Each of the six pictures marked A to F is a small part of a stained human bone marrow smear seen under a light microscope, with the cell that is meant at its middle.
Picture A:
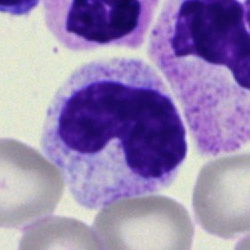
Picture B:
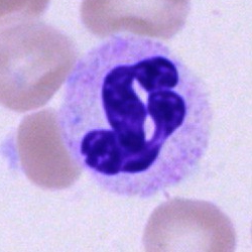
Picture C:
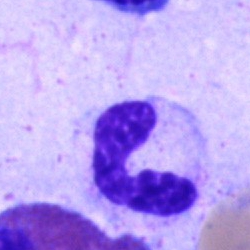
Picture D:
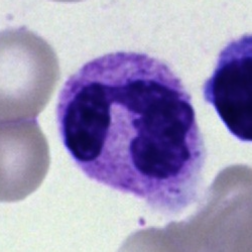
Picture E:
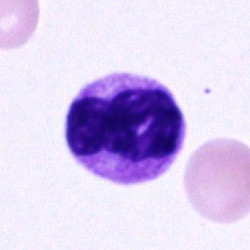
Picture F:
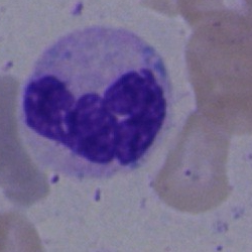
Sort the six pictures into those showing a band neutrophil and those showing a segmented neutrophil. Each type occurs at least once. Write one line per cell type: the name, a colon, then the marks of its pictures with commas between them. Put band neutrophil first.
band neutrophil: A, C
segmented neutrophil: B, D, E, F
